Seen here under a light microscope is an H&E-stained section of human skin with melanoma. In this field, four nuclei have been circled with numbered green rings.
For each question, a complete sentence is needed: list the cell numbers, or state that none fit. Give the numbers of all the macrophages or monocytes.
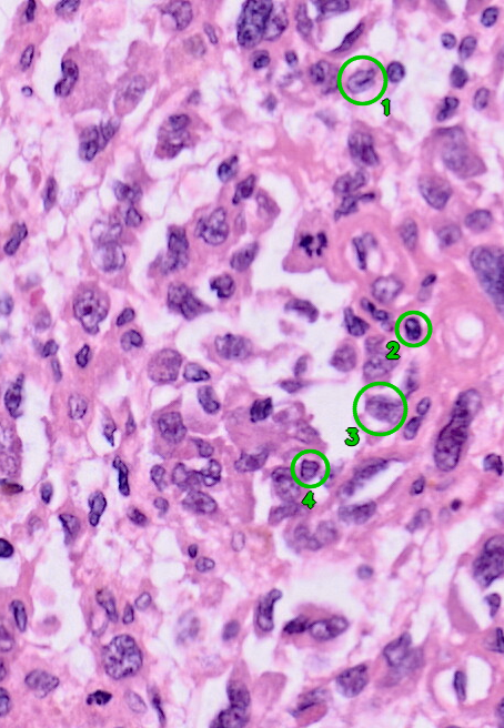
Among the labelled cells, only the cell labelled 1 is a macrophage or monocyte.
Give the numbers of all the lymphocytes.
Only the cell numbered 2 is a lymphocyte; none of the others is.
